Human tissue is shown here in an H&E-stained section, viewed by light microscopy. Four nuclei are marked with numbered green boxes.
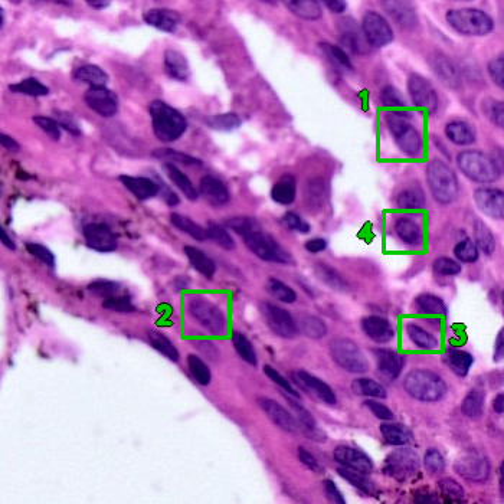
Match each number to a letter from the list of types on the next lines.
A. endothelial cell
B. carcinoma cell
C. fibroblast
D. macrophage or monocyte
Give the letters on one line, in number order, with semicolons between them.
B; B; D; B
